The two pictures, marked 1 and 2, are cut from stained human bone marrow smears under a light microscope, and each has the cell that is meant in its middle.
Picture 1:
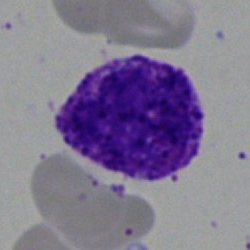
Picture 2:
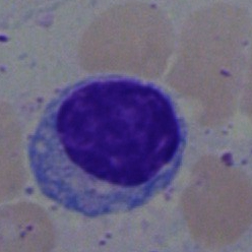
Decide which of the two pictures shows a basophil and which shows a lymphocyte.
1: basophil
2: lymphocyte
